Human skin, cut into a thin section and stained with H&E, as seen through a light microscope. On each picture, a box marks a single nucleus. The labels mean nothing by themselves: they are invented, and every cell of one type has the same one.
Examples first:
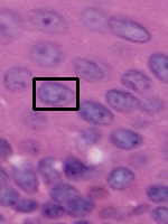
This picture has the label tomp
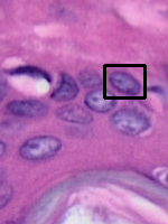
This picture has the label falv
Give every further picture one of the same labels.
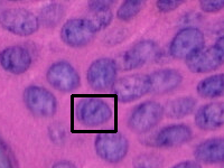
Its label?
tomp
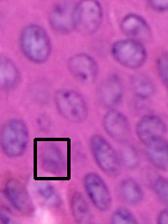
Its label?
tomp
